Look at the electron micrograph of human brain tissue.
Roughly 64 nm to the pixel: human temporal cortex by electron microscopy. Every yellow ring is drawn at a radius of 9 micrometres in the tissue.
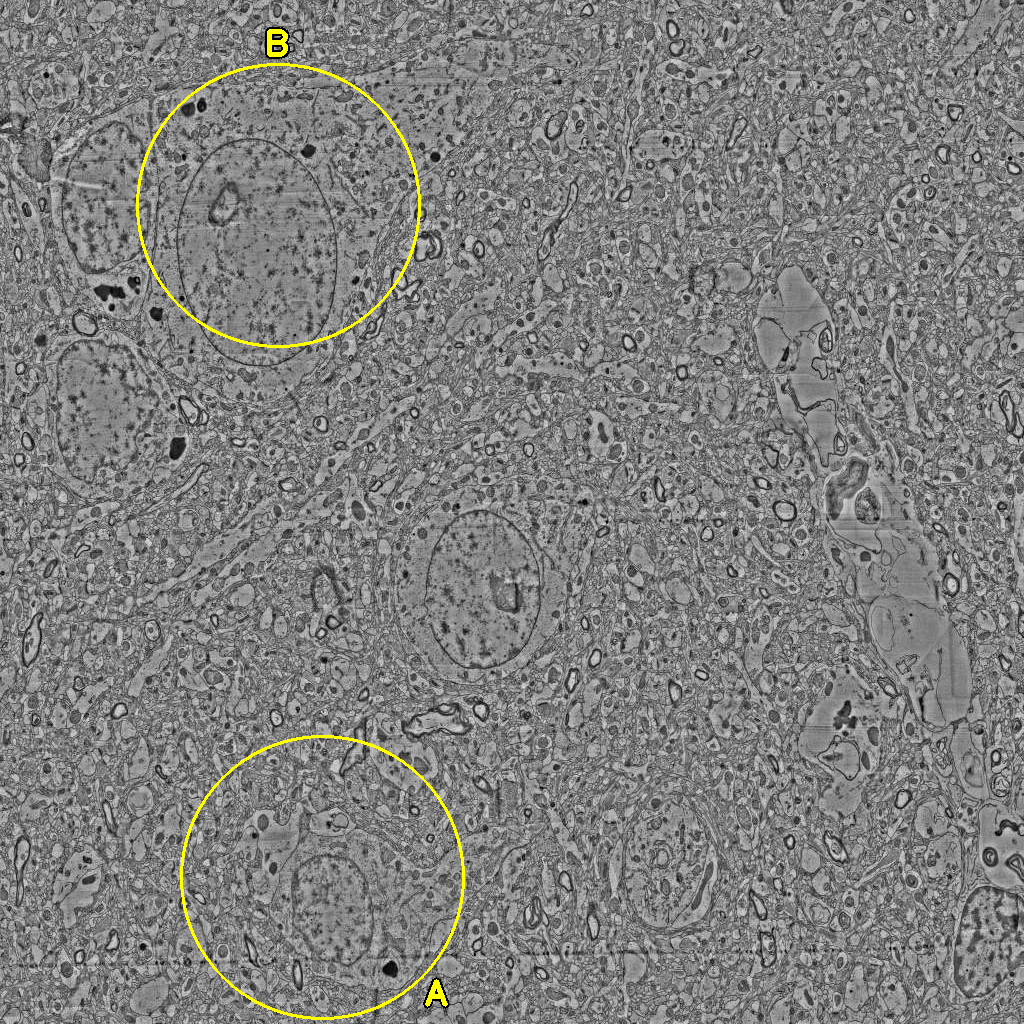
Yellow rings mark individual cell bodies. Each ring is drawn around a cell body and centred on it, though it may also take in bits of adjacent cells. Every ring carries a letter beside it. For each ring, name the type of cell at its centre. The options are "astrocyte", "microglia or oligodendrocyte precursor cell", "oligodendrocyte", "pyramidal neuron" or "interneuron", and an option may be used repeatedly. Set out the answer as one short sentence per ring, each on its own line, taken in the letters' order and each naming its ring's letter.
Ring A is drawn around an interneuron.
Ring B is drawn around a pyramidal neuron.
